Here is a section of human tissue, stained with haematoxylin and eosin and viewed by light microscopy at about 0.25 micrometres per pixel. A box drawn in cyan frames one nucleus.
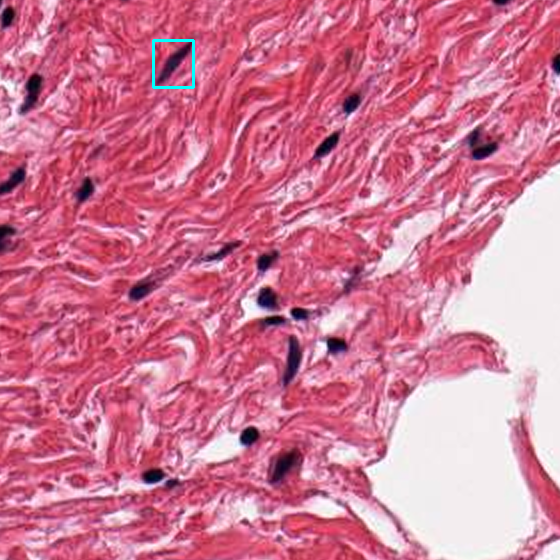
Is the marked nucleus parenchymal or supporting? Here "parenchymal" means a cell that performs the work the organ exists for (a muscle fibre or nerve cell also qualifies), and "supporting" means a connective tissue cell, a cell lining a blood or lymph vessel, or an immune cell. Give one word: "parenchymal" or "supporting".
supporting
